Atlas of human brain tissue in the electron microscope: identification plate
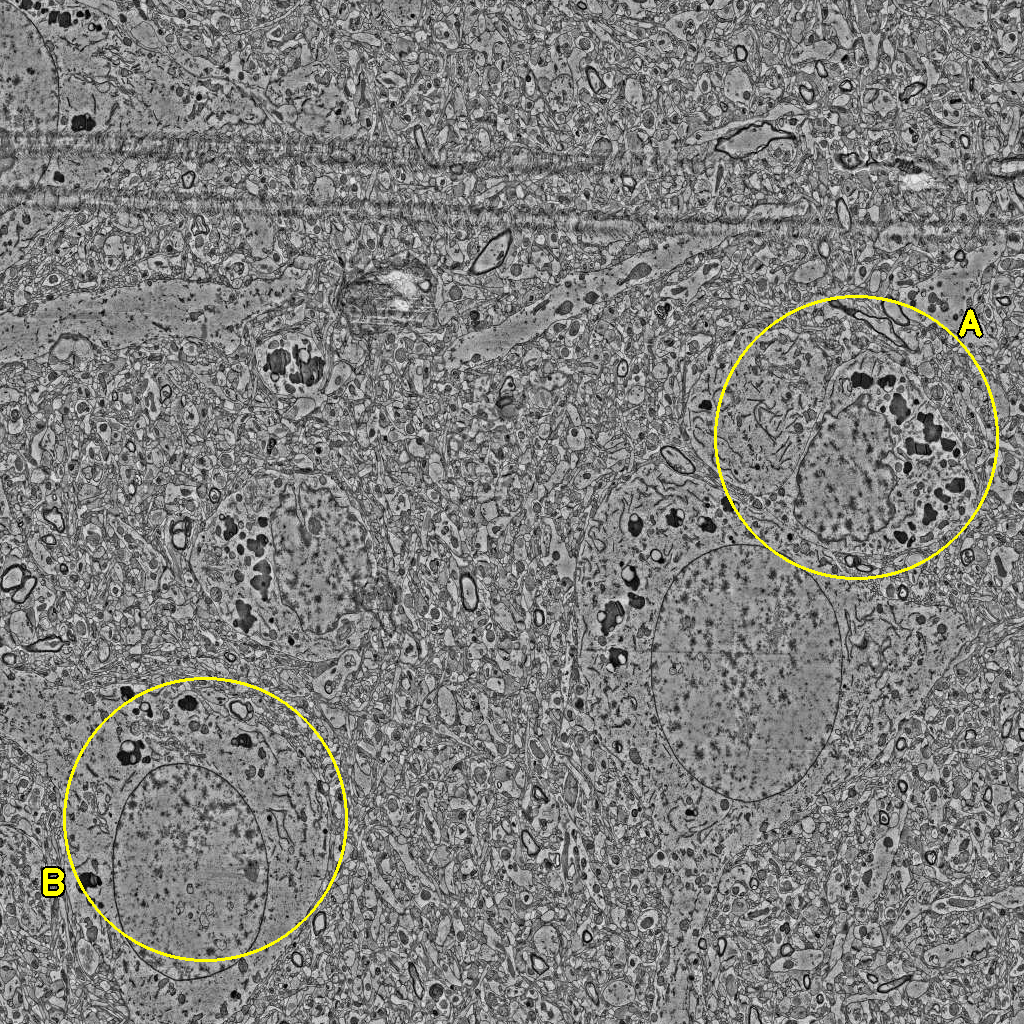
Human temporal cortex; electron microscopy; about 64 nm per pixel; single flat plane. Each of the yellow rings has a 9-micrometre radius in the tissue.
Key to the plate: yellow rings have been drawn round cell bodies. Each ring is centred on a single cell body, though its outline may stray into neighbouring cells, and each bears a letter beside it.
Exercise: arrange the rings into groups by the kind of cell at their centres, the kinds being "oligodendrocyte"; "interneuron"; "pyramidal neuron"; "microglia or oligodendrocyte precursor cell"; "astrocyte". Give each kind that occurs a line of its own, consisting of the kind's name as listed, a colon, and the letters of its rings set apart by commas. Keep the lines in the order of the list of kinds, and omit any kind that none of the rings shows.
interneuron: A
pyramidal neuron: B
